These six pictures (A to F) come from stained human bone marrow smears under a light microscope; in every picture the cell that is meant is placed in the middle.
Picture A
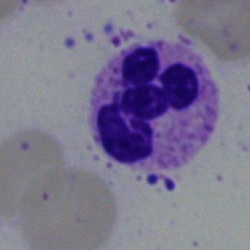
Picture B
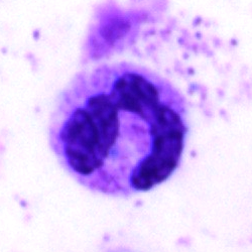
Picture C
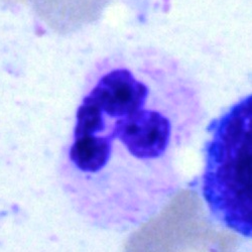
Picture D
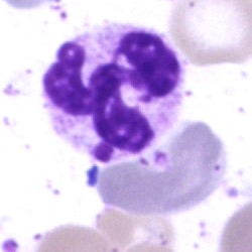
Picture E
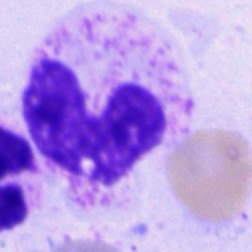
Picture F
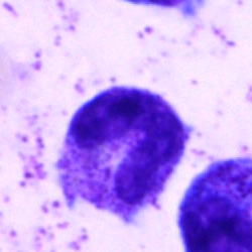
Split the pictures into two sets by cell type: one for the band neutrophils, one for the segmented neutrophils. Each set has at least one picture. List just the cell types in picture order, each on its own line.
segmented neutrophil
segmented neutrophil
segmented neutrophil
segmented neutrophil
band neutrophil
band neutrophil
